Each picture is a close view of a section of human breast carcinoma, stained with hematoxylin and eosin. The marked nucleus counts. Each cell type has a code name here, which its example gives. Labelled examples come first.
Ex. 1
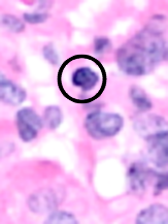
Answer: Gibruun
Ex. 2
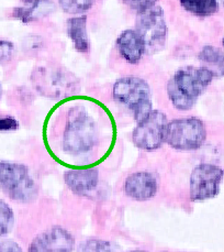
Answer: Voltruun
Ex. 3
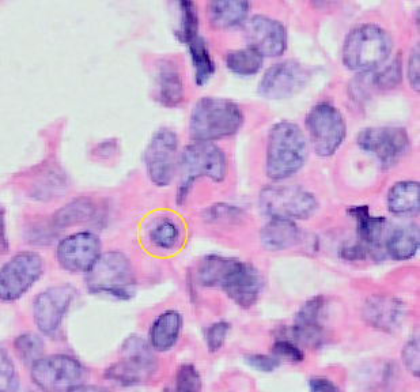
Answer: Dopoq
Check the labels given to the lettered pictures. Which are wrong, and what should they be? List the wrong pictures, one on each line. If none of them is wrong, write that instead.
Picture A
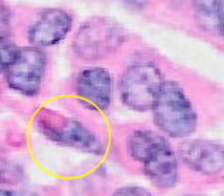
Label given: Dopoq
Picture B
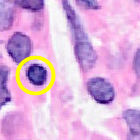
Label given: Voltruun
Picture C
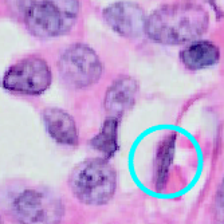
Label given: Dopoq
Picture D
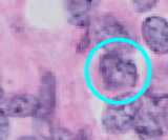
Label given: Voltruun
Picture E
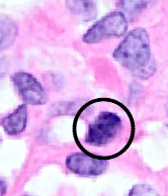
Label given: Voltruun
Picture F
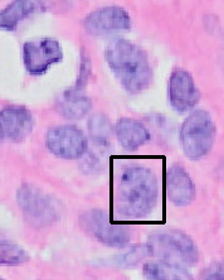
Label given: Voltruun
B: not Voltruun but Gibruun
